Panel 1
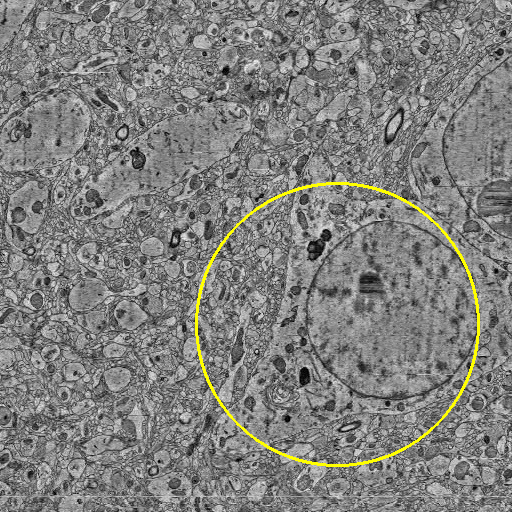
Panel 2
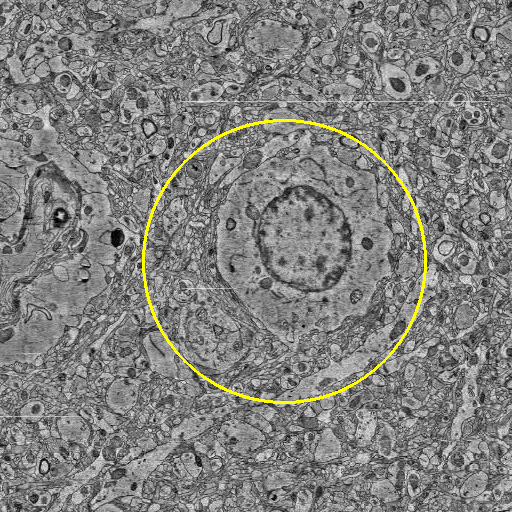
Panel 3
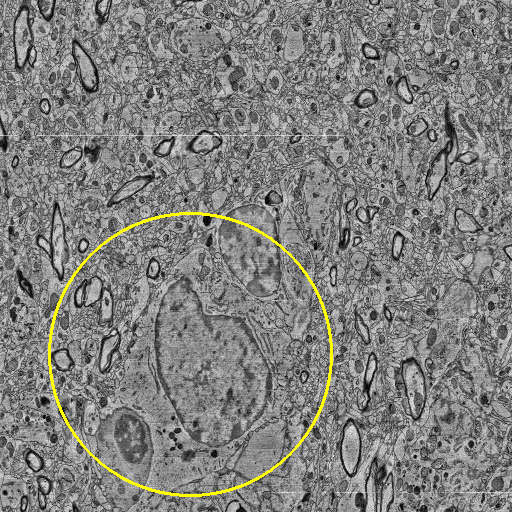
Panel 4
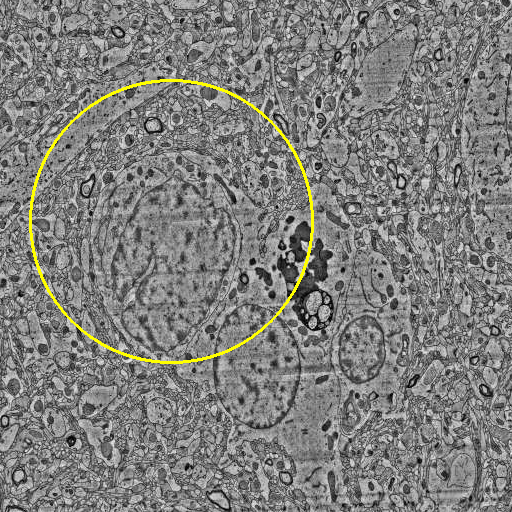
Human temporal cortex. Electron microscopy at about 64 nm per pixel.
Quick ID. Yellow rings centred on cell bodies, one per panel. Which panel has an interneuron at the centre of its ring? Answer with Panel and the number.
Panel 4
